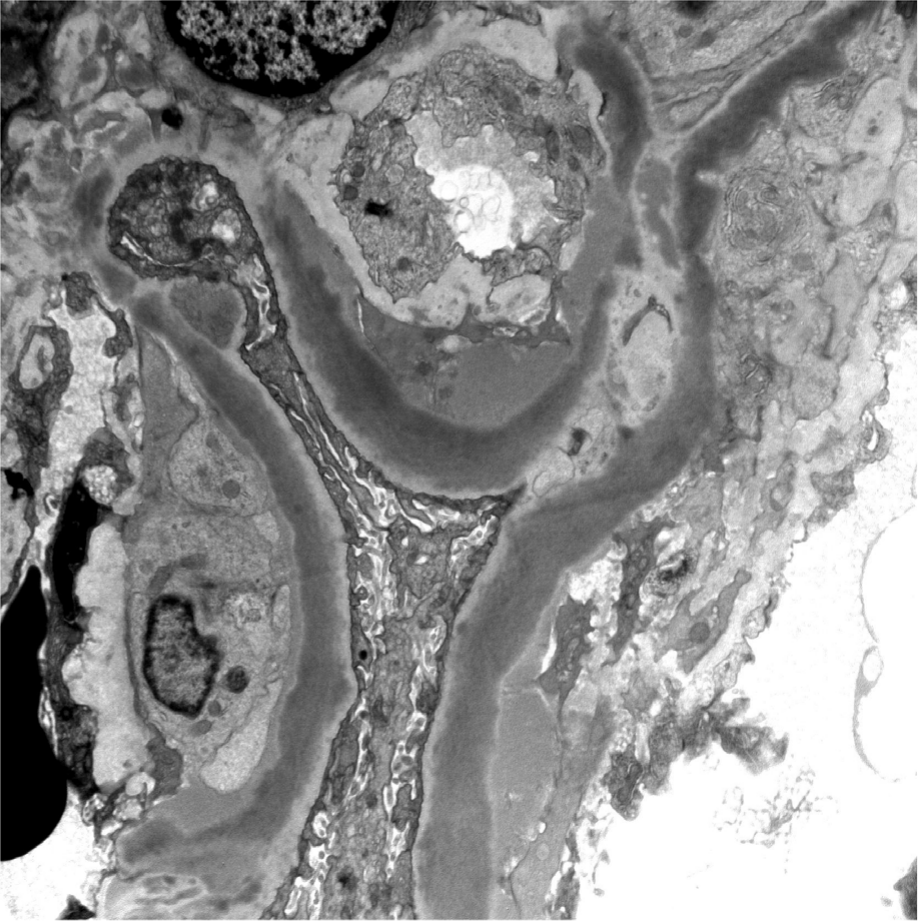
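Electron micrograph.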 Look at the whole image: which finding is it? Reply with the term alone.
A: Dense transformation of the glomerular basement membrane.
